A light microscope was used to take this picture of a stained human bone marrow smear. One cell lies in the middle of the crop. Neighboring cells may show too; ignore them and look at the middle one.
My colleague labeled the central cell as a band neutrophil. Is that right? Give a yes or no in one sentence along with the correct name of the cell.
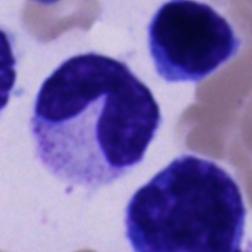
Yes, the cell in the middle has the identity of a band neutrophil.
